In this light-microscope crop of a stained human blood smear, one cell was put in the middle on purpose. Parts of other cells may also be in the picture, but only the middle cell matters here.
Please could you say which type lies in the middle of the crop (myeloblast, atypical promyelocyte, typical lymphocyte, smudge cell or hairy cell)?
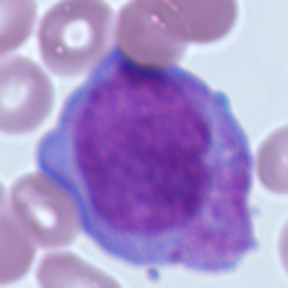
atypical promyelocyte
